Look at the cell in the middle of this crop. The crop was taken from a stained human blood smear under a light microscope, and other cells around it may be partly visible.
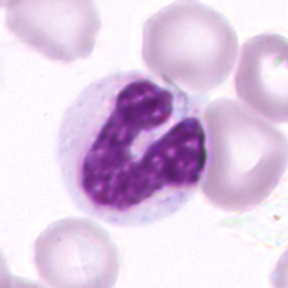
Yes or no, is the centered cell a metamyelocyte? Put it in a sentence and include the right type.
No, the central cell is not to be called a metamyelocyte, being a band neutrophil.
